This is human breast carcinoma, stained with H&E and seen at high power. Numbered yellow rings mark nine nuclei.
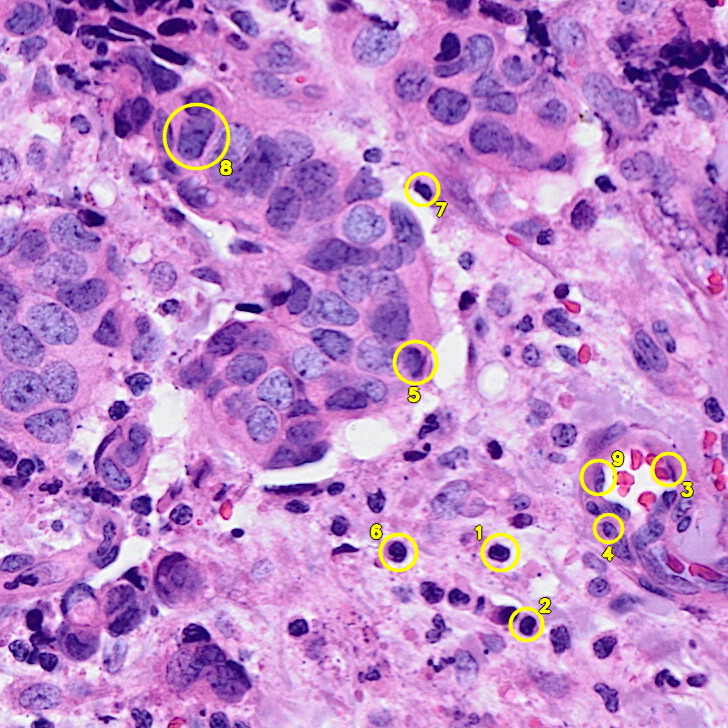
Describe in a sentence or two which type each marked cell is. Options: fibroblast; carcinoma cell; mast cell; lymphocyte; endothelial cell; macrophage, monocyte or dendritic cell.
Cell 1 is a lymphocyte, cell 2 is a lymphocyte, cell 3 is an endothelial cell, cell 4 is an endothelial cell, cell 5 is a carcinoma cell, cell 6 is a lymphocyte, cell 7 is a lymphocyte, cell 8 is a carcinoma cell and cell 9 is an endothelial cell.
